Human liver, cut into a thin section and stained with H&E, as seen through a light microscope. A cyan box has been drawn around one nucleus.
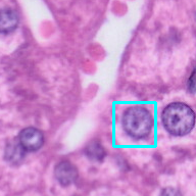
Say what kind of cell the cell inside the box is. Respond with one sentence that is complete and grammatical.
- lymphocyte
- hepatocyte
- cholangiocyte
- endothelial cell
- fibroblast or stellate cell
In the tissue under study, the cell inside the box is a hepatocyte.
